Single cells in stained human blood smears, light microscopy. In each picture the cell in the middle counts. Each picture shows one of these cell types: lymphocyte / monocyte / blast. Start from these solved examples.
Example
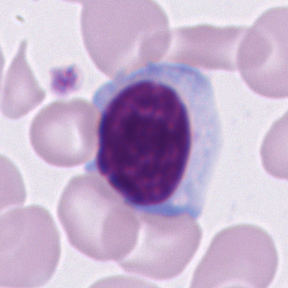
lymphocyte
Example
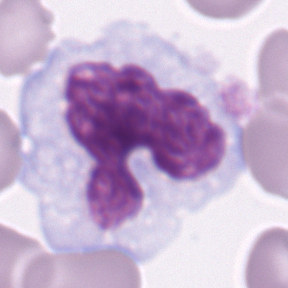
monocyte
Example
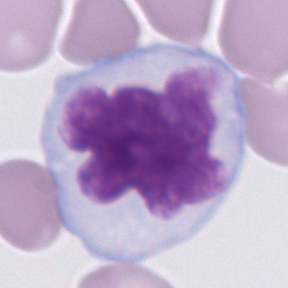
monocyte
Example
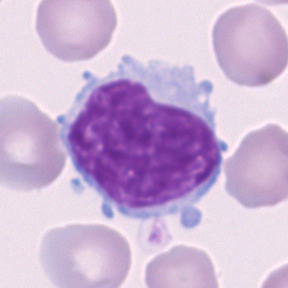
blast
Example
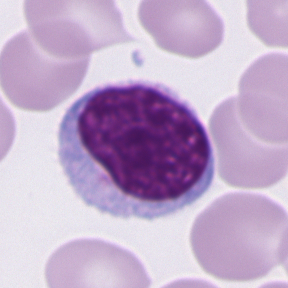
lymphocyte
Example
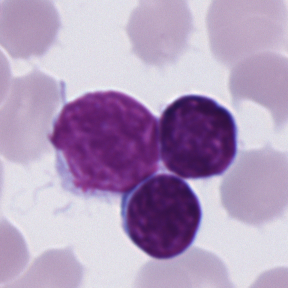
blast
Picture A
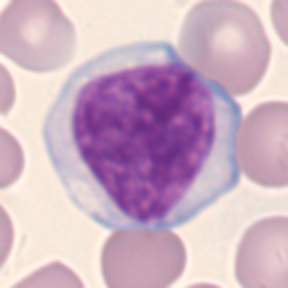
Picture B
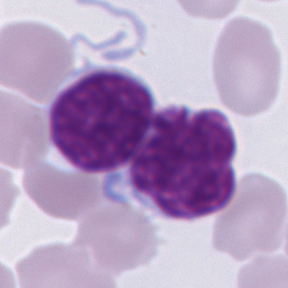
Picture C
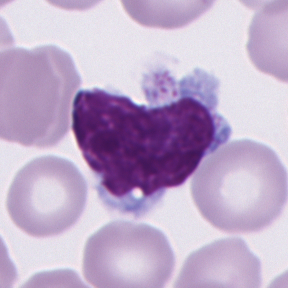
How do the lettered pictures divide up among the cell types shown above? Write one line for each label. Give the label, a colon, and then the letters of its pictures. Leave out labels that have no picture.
lymphocyte: C
blast: A, B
